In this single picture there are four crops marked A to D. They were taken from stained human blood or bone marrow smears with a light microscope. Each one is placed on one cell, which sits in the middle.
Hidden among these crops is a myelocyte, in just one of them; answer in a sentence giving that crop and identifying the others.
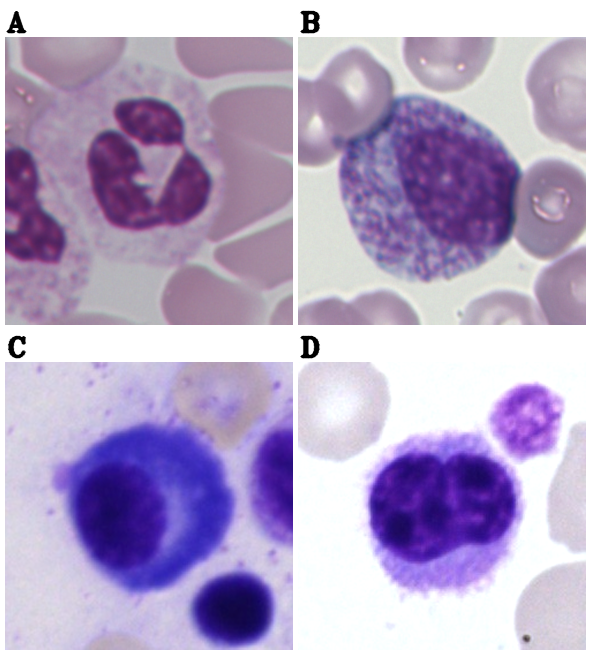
Crop B presents a myelocyte, while crop A is a segmented neutrophil, crop C is a plasma cell and crop D is a hairy cell.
